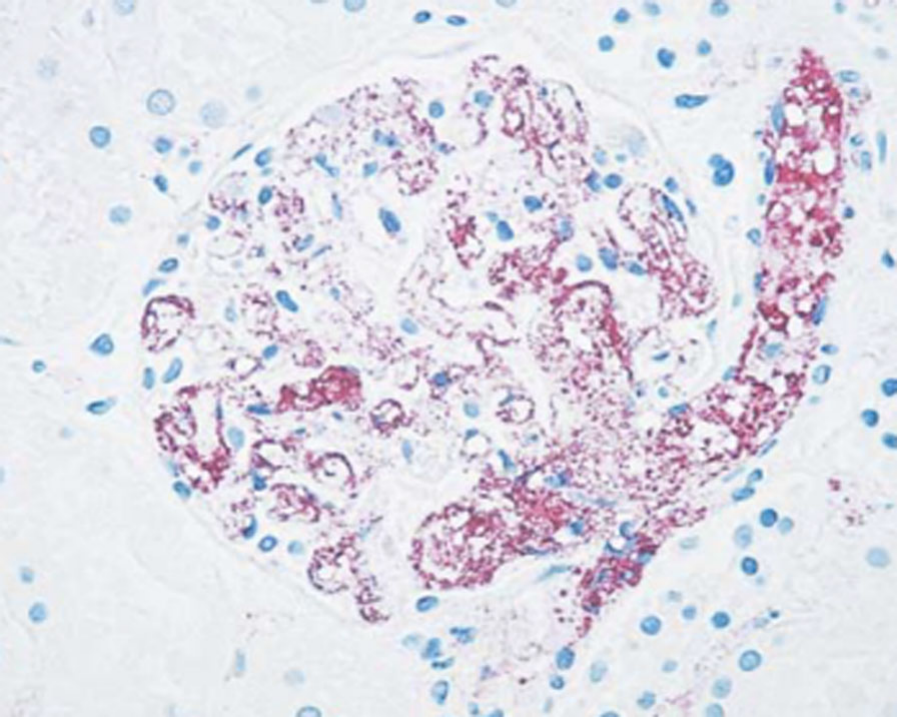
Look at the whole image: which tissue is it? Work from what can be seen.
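A rounded tuft of looped capillaries fills the centre of the image. A thin clear space and capsule surround the tuft. Tubular epithelial nuclei lie outside the rounded structure. So: glomerulus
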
